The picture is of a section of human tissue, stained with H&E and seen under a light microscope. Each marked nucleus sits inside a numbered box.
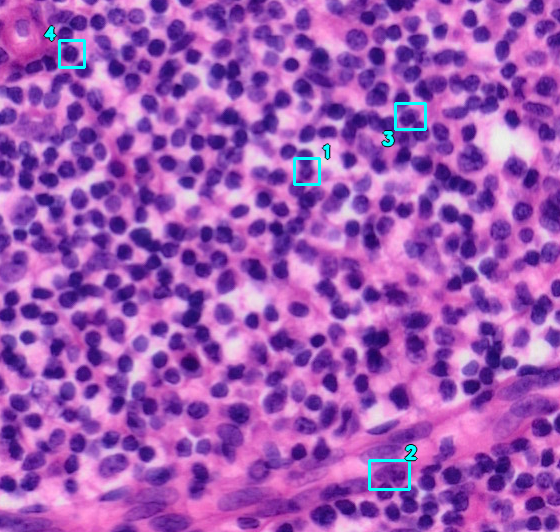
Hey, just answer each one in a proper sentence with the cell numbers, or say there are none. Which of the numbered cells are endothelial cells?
There is just one numbered cell that is an endothelial cell, and it is cell 2.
